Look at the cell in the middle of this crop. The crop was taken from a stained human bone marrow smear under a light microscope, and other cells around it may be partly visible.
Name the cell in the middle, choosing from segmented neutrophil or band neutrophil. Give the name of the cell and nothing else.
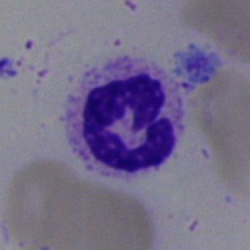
segmented neutrophil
